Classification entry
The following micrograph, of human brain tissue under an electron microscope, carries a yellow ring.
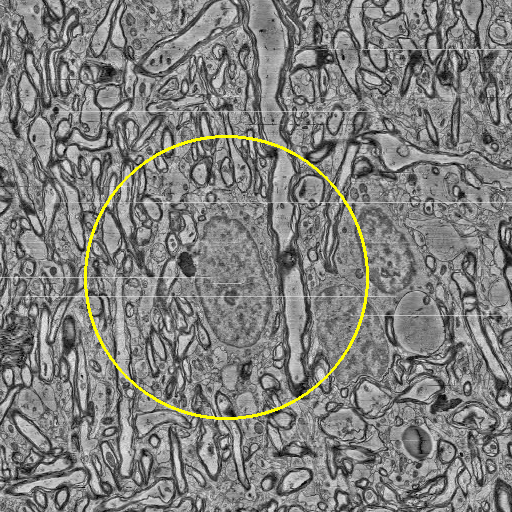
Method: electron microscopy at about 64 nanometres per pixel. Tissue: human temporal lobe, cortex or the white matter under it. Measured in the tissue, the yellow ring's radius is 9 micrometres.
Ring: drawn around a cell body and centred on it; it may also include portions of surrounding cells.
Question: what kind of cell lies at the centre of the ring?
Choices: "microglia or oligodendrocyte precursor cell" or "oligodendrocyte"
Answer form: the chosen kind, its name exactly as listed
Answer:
oligodendrocyte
